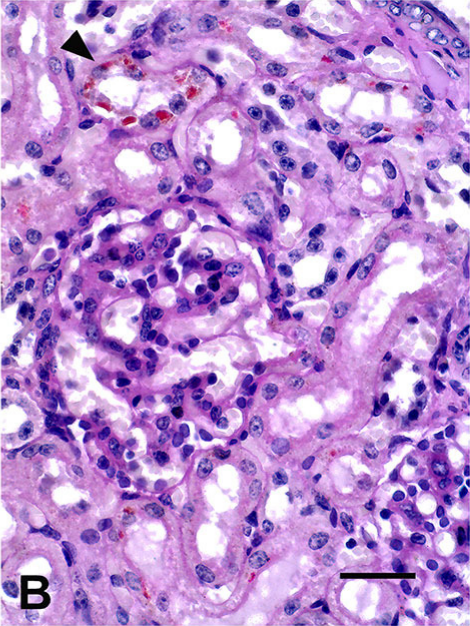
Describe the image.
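Kidney cortex with a glomerulus in the centre surrounded by cross-sectioned renal tubules lined by cuboidal epithelial cells. The tubular epithelial cells have round, dark purple nuclei and pale pink, somewhat vacuolated cytoplasm, with magenta-outlined basement membranes. In the cytoplasm of some tubular cells at the upper left lie small orange-red granules. The glomerulus shows a tuft of capillary loops with numerous dark nuclei within a thin capsule.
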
